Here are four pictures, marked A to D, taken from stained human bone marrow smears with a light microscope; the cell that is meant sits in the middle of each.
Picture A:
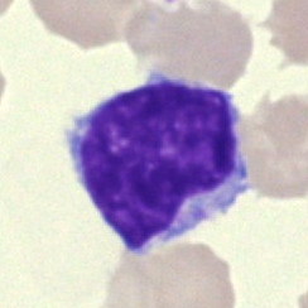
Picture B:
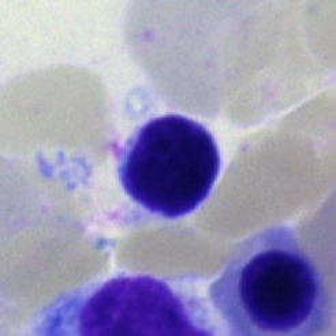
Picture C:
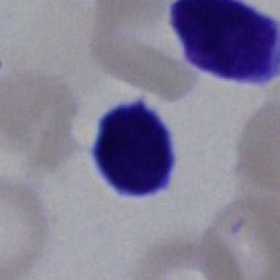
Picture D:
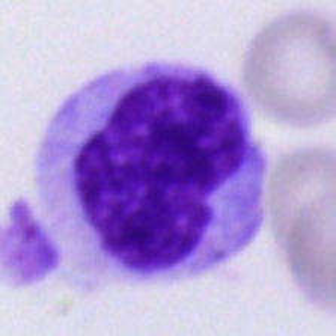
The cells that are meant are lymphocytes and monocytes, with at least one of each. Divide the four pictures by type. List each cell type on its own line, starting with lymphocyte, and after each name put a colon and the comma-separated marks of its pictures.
lymphocyte: A, B, C
monocyte: D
